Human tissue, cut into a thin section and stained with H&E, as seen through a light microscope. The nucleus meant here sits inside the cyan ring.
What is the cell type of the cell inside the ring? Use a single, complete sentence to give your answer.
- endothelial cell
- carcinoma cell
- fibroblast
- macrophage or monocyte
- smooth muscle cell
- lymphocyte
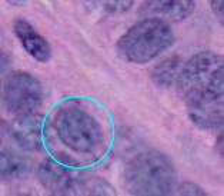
It is as a carcinoma cell that the cell inside the ring is recorded.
